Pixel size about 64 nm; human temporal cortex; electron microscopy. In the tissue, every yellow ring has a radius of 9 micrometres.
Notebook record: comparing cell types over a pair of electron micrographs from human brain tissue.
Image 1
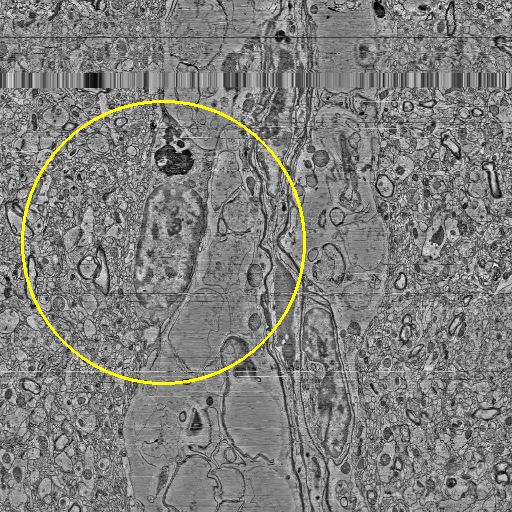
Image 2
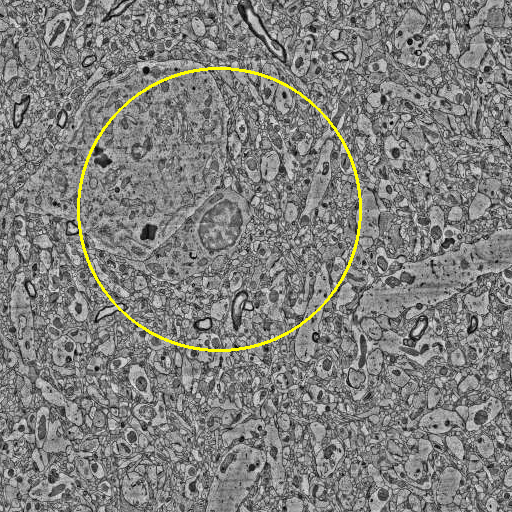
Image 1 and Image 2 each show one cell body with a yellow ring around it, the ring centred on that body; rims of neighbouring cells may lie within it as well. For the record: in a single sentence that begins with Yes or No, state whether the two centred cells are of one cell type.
Yes, one cell type is shared by the centred cells of Image 1 and Image 2.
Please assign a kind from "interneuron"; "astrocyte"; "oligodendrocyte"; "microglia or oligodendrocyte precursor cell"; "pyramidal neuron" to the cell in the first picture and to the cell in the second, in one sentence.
Each of the two cells is an oligodendrocyte.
